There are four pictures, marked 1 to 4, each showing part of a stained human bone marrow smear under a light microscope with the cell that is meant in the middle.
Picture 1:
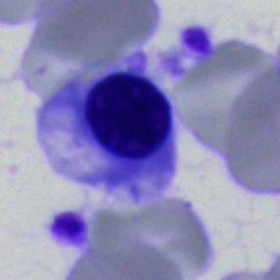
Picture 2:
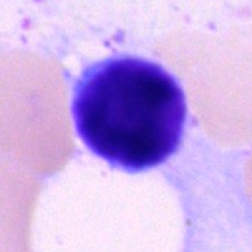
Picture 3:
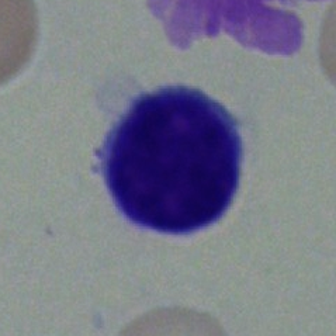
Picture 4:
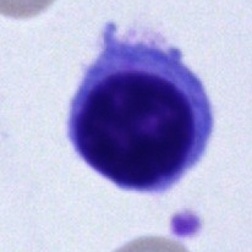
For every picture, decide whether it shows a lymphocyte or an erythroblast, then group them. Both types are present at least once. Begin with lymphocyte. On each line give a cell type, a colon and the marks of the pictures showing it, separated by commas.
lymphocyte: 2, 3, 4
erythroblast: 1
